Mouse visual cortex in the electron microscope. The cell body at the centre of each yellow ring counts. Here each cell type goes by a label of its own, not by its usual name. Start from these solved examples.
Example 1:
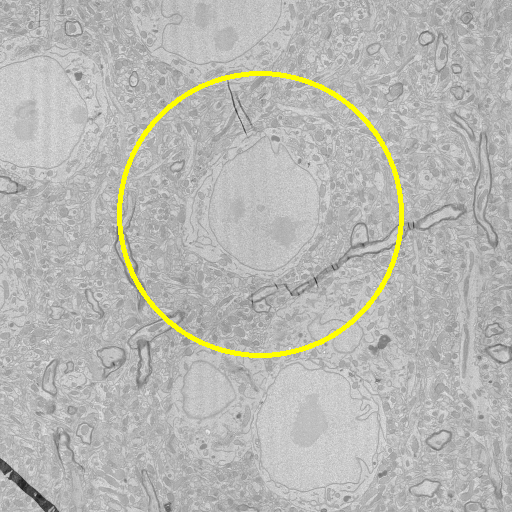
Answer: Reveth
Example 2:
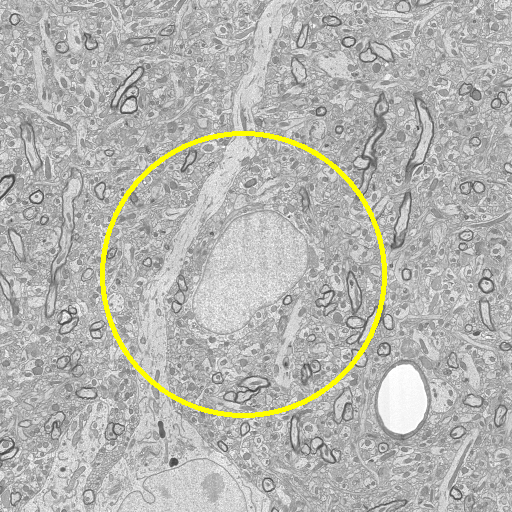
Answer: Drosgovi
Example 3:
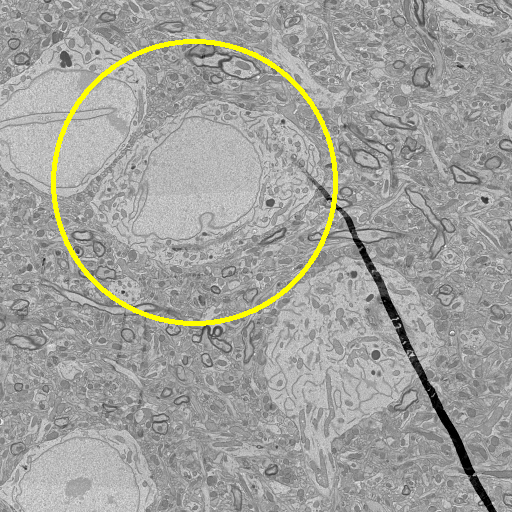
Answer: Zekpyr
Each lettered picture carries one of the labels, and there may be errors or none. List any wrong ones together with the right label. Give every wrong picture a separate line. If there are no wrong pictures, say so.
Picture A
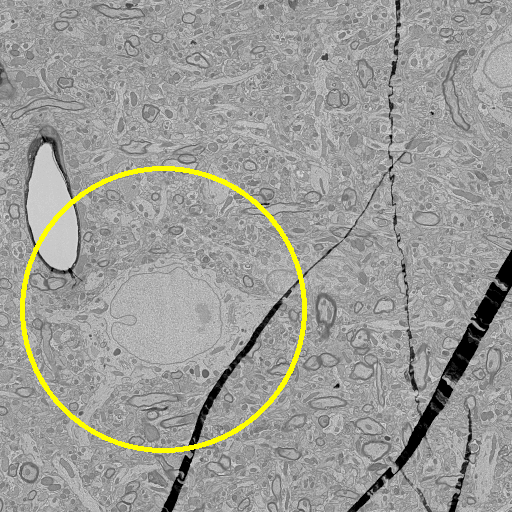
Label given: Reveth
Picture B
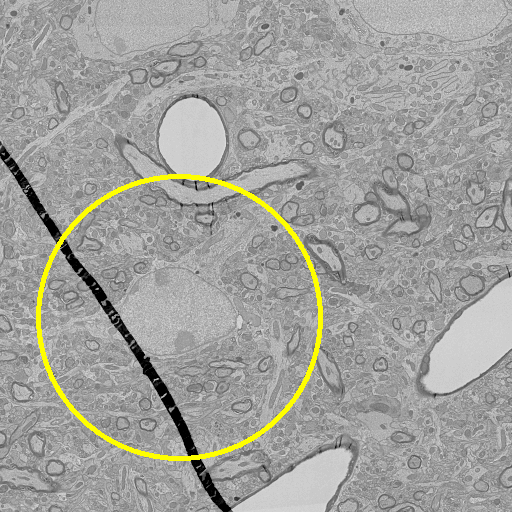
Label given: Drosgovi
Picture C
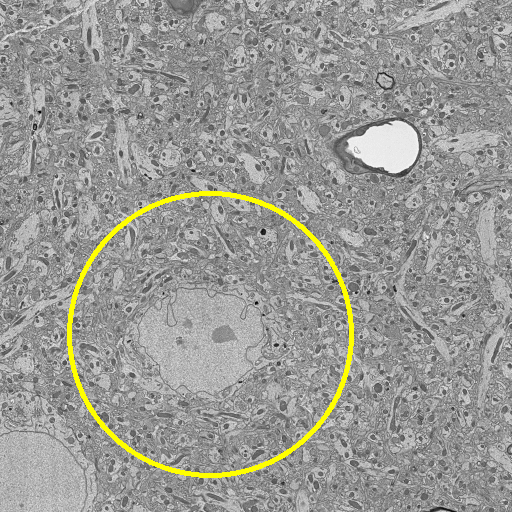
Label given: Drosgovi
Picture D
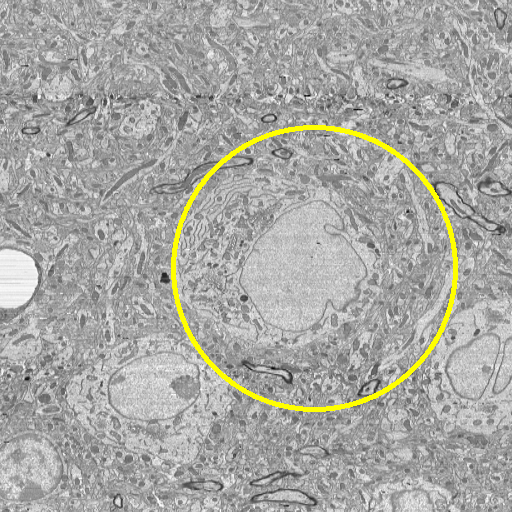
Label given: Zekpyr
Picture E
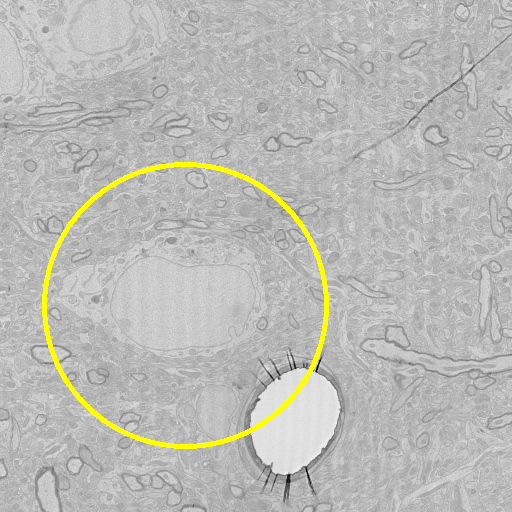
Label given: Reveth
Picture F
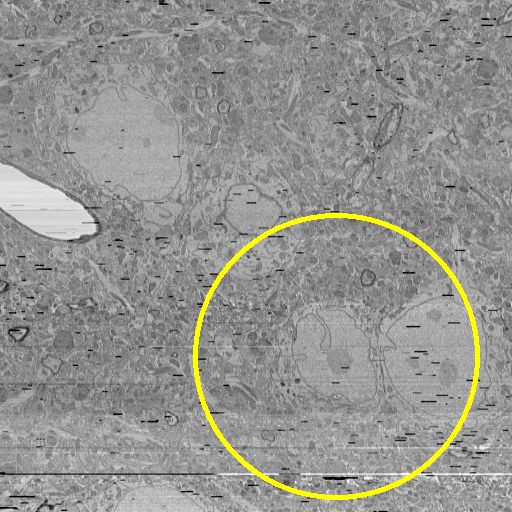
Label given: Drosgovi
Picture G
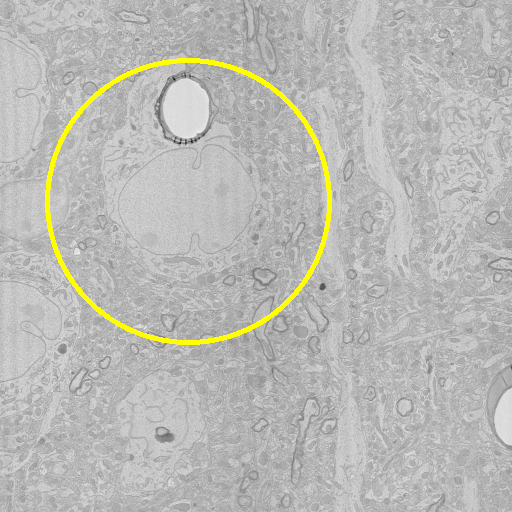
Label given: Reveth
C: change Drosgovi to Zekpyr
F: change Drosgovi to Zekpyr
